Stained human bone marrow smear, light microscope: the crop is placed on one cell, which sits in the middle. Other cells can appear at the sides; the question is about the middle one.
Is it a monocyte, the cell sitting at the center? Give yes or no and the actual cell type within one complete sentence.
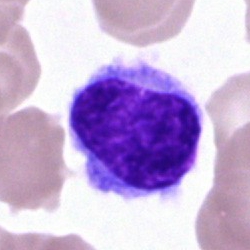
No, the centre cell counts as a hairy cell, not as a monocyte.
